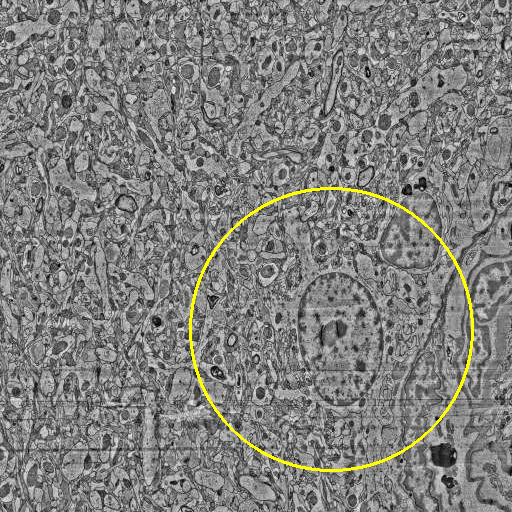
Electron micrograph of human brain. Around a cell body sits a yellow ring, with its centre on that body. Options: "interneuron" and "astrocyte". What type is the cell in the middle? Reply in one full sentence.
The cell sitting at the centre of the yellow ring is an astrocyte.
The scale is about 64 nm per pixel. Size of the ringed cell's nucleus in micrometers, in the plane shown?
In this plane, approximately 8 by 5 micrometers, and clearly longer than it is wide.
